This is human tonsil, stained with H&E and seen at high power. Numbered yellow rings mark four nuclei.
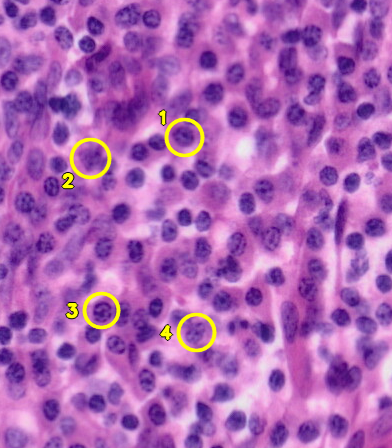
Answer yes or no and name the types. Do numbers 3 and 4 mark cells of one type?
Yes, with respect to identity, cells 3 and 4 are both plasma cells.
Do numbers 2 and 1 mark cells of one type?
No, hold on, cell 2 is a squamous epithelial cell and cell 1 is a plasma cell.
